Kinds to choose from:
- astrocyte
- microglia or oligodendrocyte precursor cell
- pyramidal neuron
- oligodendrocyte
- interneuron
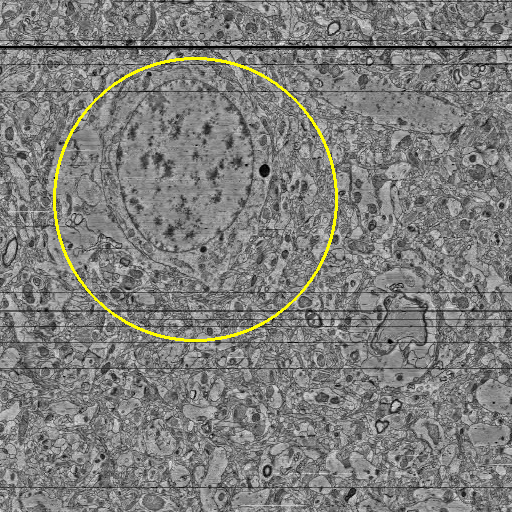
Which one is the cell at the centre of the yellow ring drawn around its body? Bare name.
pyramidal neuron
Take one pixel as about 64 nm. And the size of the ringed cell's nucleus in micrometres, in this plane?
In this plane, the nucleus is roughly 12 by 9 micrometres.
